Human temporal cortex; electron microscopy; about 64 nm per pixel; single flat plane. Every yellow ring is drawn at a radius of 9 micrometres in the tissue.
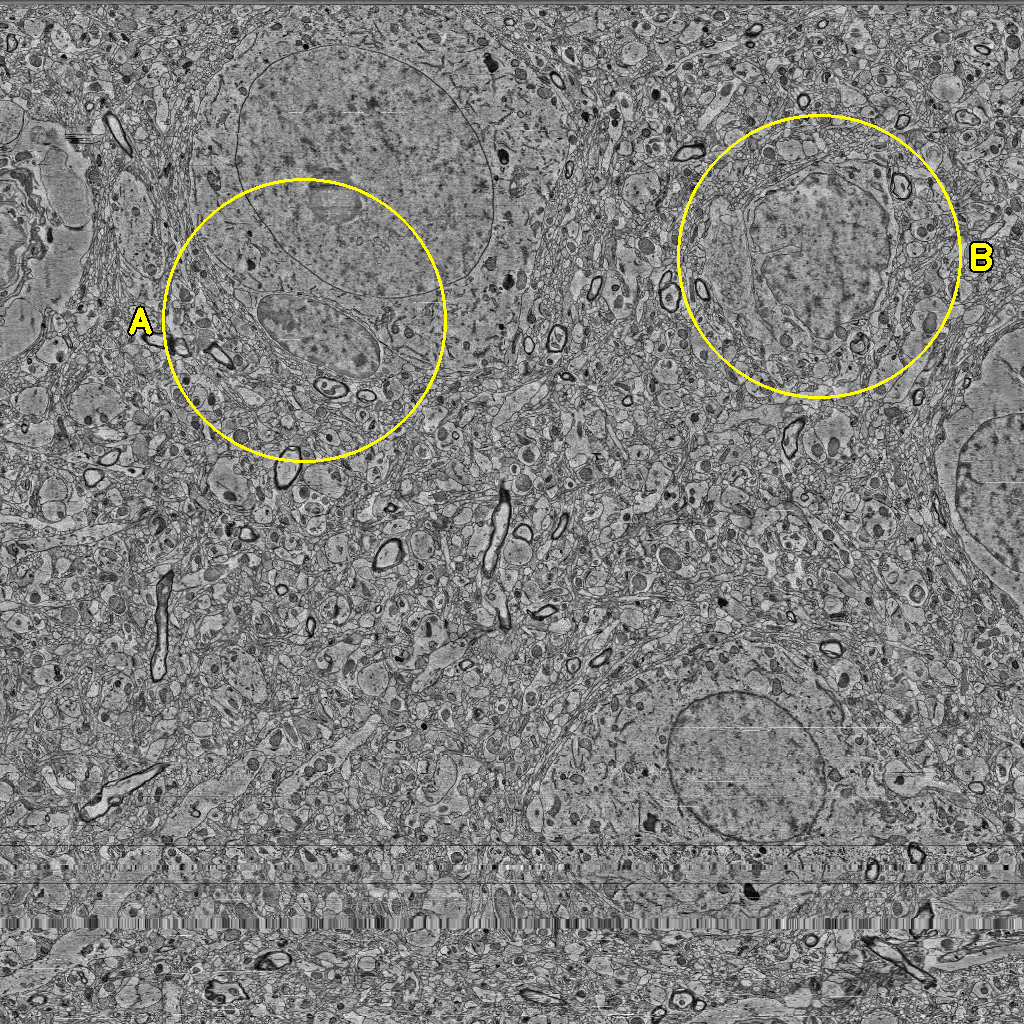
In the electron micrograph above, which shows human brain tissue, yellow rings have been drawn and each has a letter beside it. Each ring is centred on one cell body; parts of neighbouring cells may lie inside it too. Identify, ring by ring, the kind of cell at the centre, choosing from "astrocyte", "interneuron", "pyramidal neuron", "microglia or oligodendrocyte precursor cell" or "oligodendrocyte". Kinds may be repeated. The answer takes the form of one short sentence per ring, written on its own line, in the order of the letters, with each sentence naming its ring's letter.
Inside ring A, at its centre, is a microglial cell or oligodendrocyte precursor cell.
Inside ring B, at its centre, is an interneuron.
